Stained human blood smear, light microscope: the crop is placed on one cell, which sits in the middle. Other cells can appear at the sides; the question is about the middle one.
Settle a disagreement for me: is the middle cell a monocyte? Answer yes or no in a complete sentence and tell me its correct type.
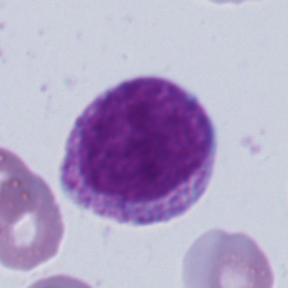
No, it isn't a monocyte; what sits in the middle is a myelocyte.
